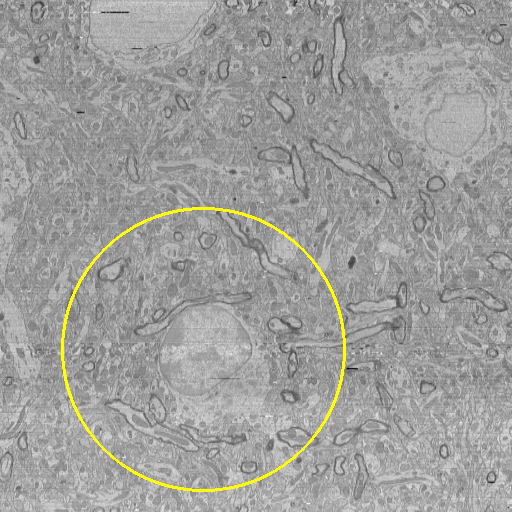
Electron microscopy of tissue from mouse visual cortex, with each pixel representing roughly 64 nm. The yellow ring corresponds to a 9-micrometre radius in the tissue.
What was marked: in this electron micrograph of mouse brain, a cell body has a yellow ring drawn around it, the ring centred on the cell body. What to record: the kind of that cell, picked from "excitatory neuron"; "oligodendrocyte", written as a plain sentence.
The centred cell is an oligodendrocyte.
